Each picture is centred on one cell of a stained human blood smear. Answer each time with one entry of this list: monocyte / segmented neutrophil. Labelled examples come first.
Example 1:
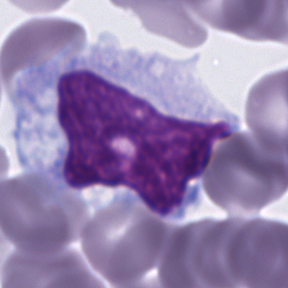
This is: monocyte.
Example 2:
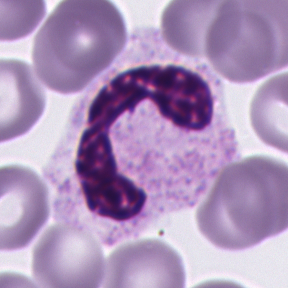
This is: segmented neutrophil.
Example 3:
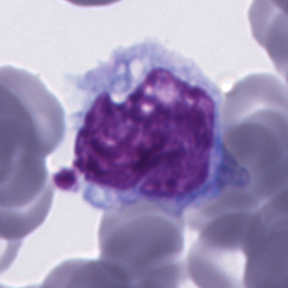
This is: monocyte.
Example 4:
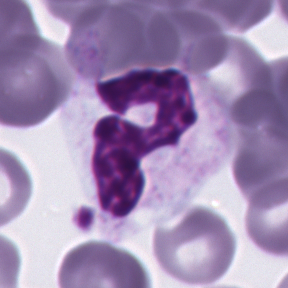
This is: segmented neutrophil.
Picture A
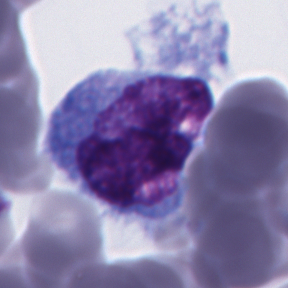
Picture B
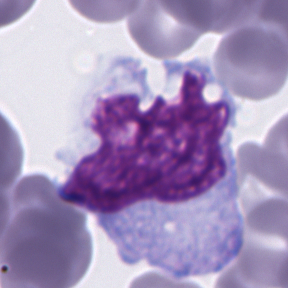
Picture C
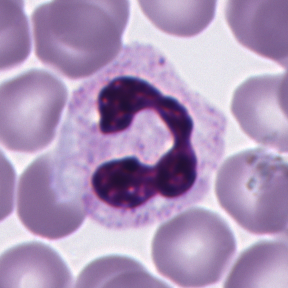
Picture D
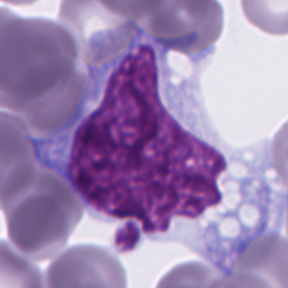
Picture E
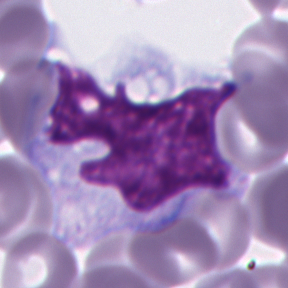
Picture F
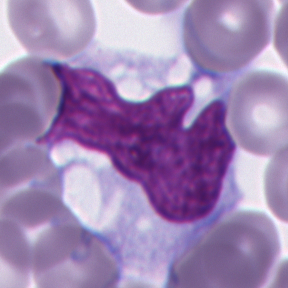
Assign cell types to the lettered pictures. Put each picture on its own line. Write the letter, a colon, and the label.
A: monocyte.
B: monocyte.
C: segmented neutrophil.
D: monocyte.
E: monocyte.
F: monocyte.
